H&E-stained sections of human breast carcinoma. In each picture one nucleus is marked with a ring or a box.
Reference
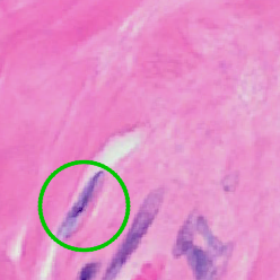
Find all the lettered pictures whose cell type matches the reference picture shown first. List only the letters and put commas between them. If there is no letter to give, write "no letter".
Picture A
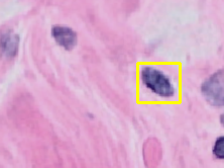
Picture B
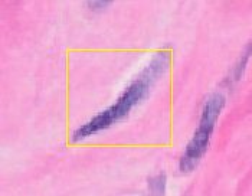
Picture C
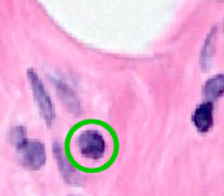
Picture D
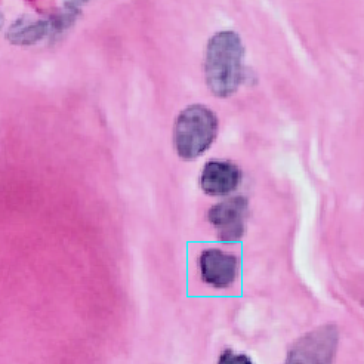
B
